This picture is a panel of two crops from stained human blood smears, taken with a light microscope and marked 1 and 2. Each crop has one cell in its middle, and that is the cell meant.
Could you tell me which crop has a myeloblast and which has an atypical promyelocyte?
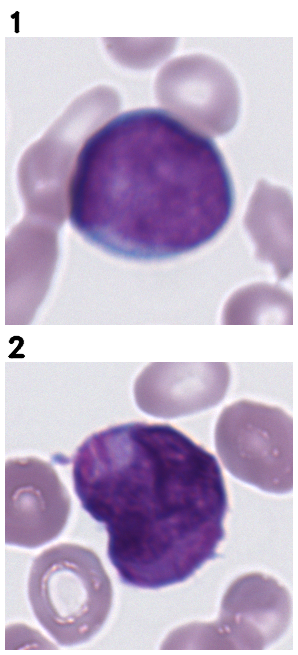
1: myeloblast
2: atypical promyelocyte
